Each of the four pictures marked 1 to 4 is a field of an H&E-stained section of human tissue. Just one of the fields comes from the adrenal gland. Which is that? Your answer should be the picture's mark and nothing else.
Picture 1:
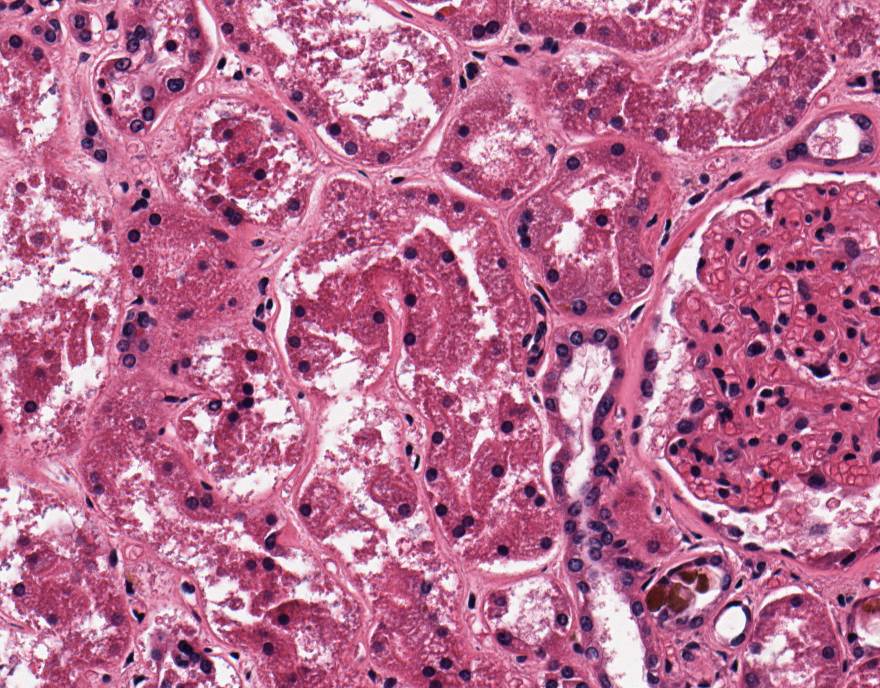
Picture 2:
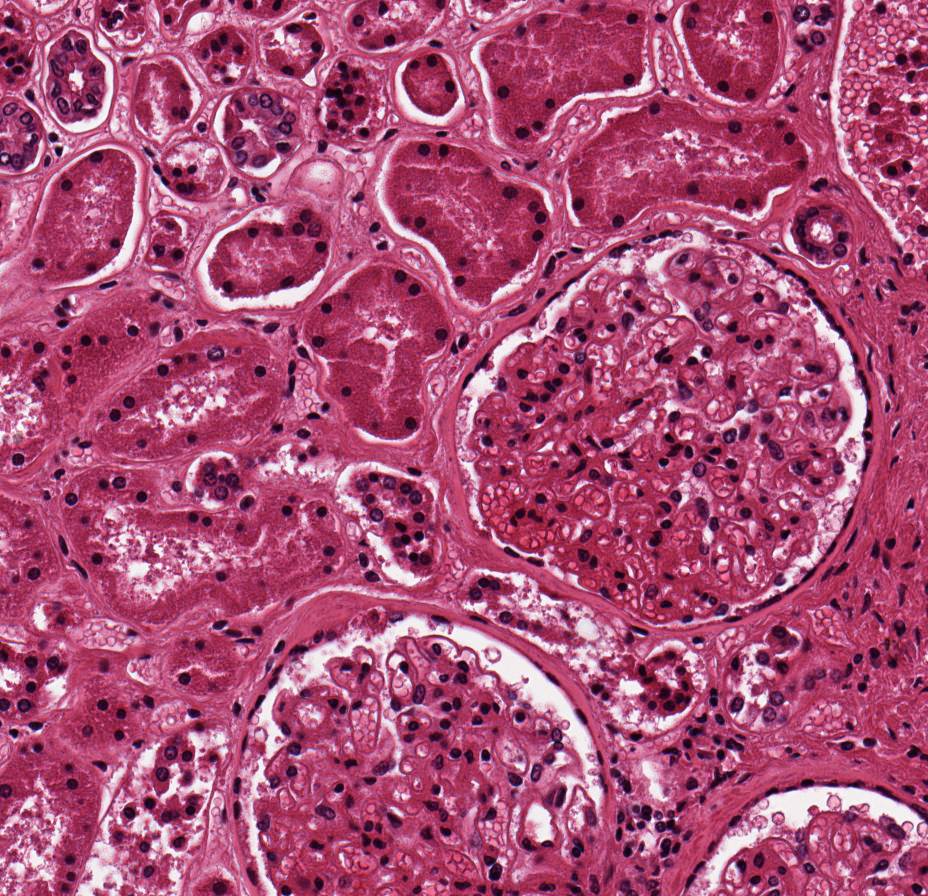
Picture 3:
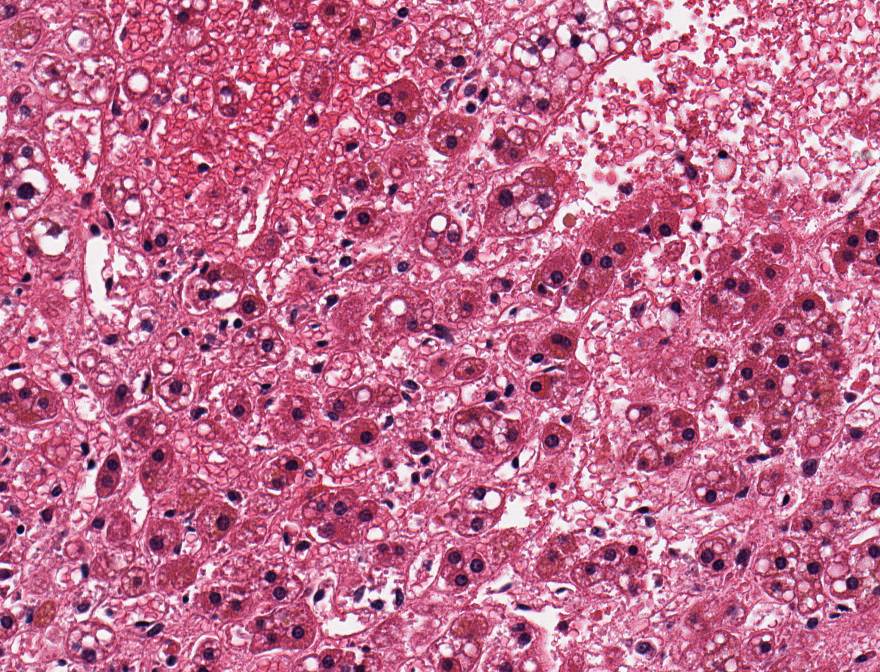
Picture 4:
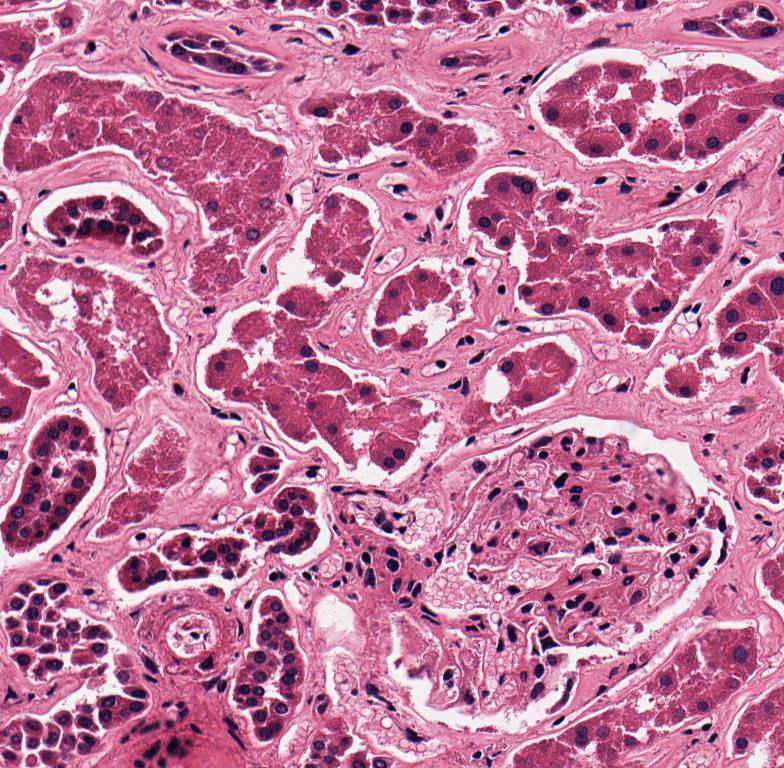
3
